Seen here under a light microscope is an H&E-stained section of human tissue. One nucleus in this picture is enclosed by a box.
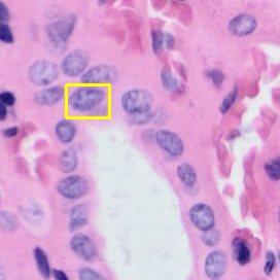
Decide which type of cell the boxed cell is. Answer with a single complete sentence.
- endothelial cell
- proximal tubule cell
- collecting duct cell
This is a collecting duct cell.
